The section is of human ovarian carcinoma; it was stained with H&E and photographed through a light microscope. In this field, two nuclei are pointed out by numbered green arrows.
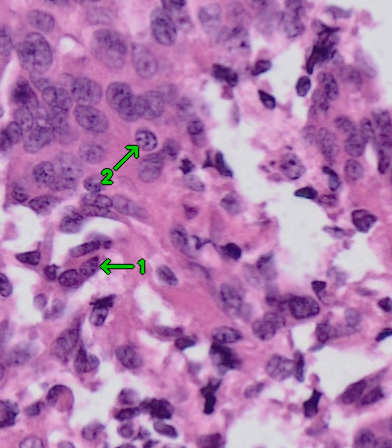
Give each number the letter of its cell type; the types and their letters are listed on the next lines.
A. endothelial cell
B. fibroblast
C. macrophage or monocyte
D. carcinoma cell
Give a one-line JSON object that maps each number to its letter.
{"1": "D", "2": "C"}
